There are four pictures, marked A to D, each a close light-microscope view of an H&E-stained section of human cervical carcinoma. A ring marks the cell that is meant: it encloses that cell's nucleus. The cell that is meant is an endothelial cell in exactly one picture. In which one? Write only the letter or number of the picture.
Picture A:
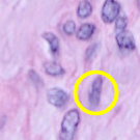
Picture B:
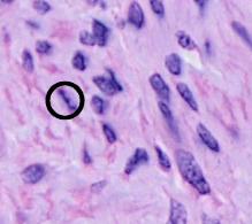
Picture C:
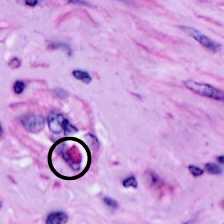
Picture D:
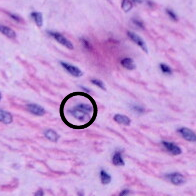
C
